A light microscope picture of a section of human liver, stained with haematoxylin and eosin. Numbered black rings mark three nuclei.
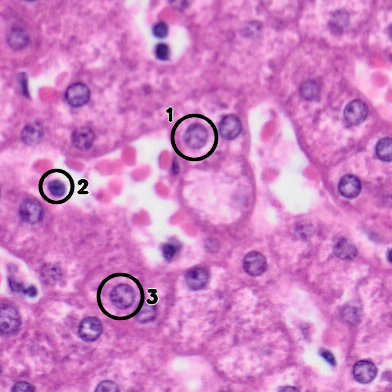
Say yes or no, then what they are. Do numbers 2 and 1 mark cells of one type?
No, unlike cell 2, which is a lymphocyte, cell 1 is a hepatocyte.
